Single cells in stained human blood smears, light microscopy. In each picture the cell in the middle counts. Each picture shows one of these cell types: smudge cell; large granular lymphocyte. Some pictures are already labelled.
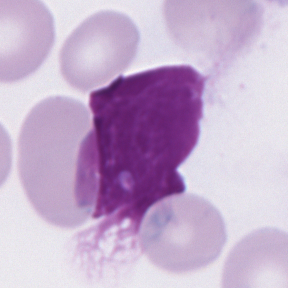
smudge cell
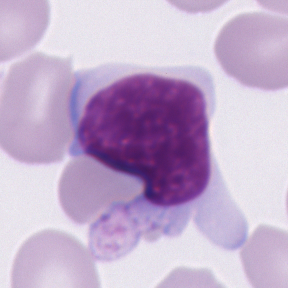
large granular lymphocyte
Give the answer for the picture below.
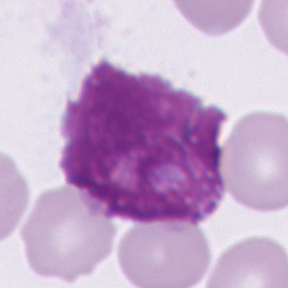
smudge cell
